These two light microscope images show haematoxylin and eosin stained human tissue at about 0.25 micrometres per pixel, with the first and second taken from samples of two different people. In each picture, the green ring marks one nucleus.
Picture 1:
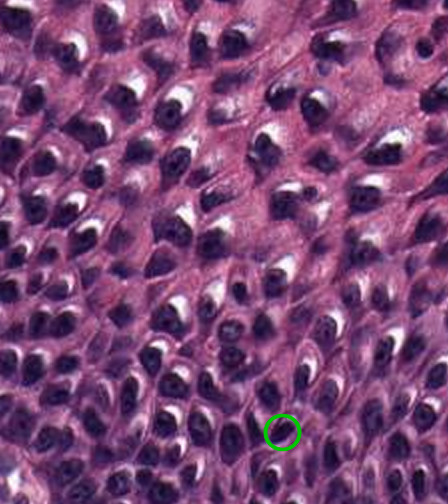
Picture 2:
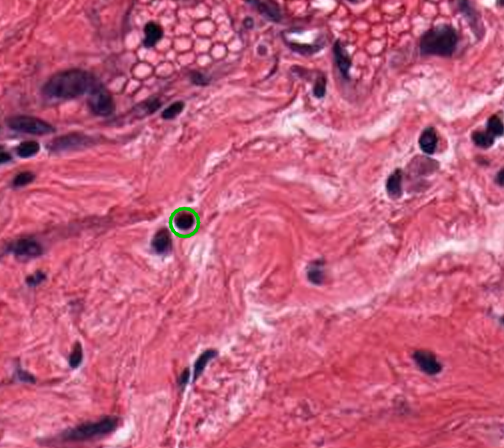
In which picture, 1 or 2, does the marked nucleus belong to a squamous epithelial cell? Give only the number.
1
